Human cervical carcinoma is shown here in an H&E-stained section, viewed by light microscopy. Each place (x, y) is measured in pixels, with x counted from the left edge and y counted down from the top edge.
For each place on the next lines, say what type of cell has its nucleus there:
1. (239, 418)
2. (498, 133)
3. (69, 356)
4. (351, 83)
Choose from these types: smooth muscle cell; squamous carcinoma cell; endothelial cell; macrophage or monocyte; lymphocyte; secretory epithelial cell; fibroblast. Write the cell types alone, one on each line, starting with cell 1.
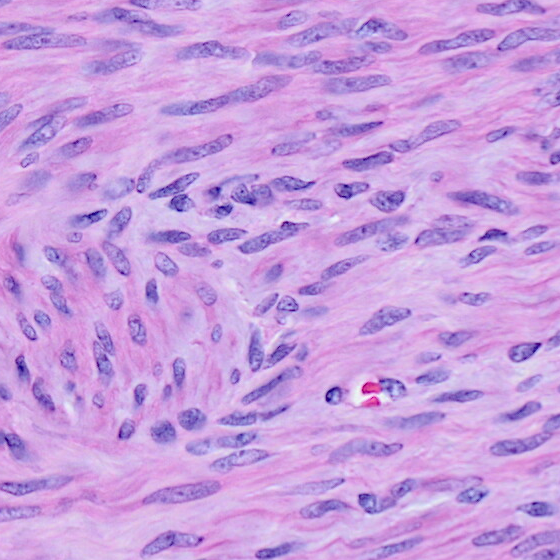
fibroblast
smooth muscle cell
smooth muscle cell
smooth muscle cell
